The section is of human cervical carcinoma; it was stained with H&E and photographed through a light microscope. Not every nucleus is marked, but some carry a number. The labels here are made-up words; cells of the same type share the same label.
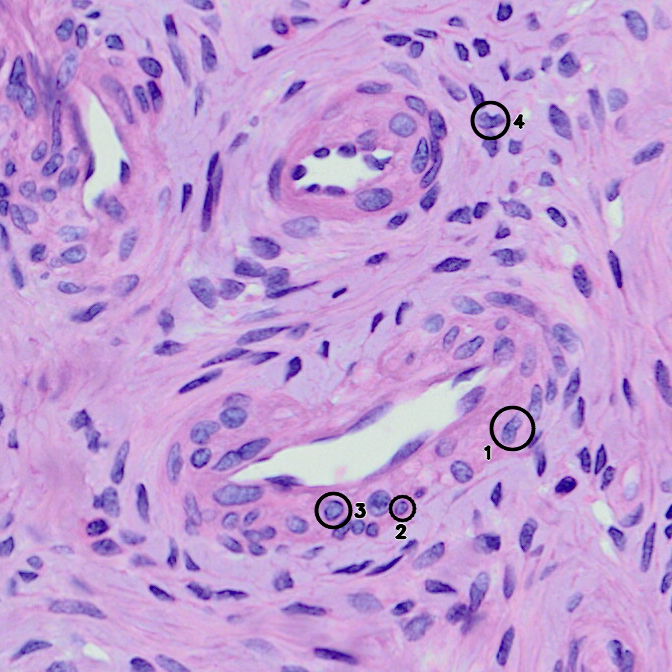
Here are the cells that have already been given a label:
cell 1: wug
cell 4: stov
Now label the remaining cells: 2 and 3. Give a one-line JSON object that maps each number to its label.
{"2": "wug", "3": "wug"}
